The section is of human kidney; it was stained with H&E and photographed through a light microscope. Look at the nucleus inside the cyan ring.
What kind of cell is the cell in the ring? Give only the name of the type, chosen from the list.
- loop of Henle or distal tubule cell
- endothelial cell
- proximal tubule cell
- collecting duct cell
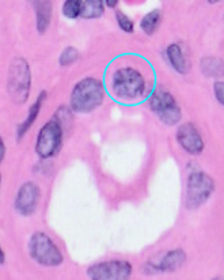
collecting duct cell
